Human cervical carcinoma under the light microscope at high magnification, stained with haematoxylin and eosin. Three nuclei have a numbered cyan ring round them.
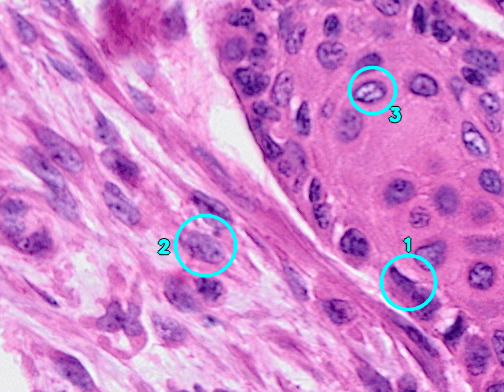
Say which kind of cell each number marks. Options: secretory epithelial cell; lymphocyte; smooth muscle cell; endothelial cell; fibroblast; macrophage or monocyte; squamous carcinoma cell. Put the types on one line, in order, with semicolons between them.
squamous carcinoma cell; fibroblast; squamous carcinoma cell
